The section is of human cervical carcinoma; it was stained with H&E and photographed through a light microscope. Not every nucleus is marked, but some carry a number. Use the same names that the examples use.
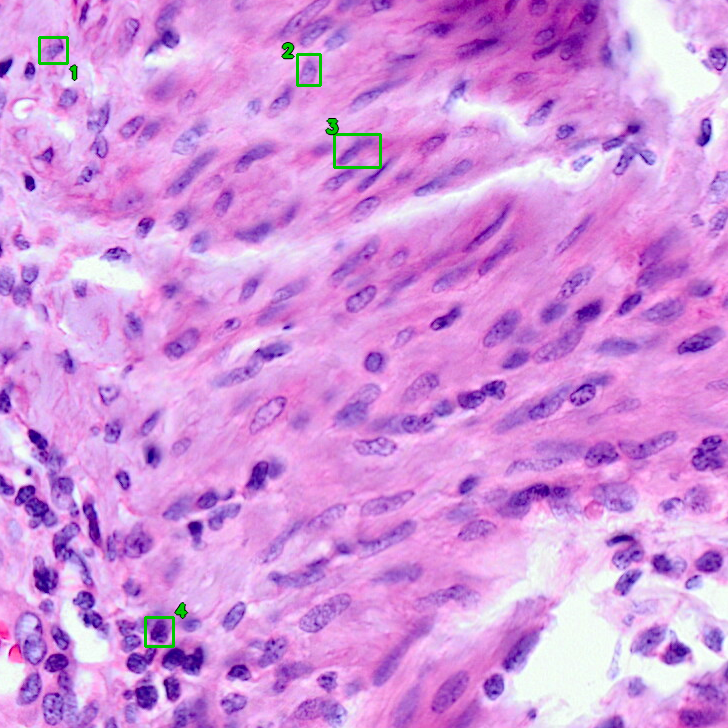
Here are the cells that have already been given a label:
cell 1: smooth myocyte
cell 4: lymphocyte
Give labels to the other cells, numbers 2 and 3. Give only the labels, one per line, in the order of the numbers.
smooth myocyte
smooth myocyte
